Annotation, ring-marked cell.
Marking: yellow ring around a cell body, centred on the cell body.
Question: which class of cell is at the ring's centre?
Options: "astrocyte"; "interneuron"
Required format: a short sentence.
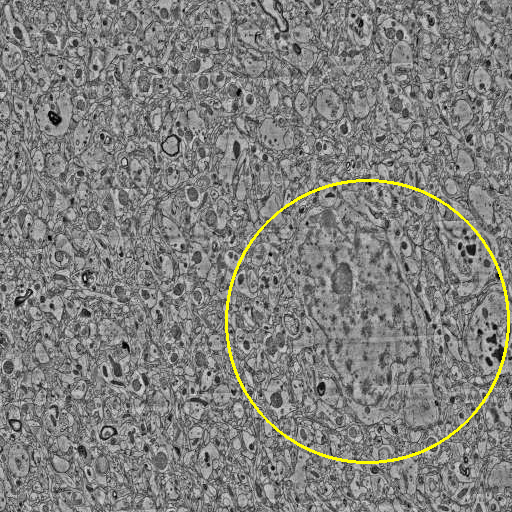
At the ring's centre is an interneuron.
